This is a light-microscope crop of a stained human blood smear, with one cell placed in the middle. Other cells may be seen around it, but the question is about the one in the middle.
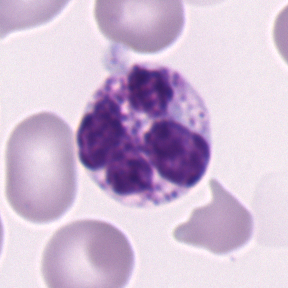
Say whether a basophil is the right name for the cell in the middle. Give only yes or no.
yes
